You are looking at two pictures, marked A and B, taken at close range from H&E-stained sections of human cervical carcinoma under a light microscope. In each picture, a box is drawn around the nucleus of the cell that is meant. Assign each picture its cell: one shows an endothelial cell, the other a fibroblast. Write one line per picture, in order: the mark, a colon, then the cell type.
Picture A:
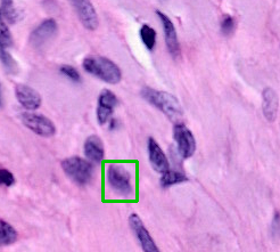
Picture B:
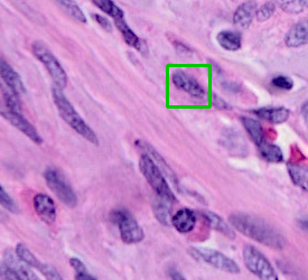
A: fibroblast
B: endothelial cell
